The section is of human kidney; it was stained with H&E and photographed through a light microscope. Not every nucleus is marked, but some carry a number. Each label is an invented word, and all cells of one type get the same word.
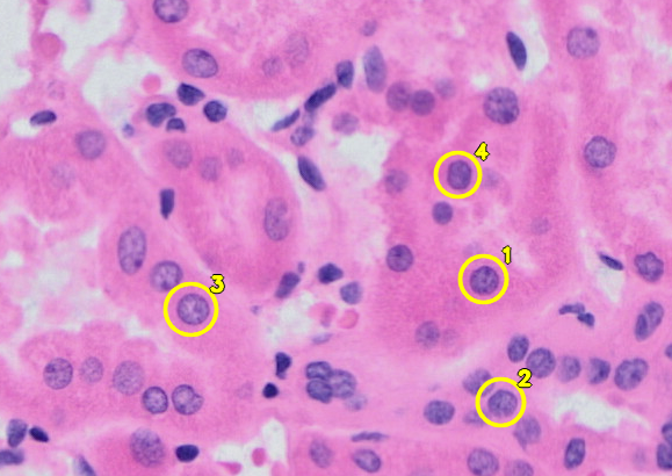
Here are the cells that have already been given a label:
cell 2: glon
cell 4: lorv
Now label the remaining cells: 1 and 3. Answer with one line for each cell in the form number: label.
1: lorv
3: lorv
